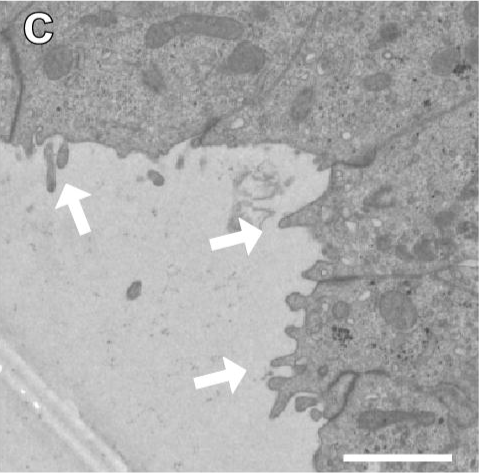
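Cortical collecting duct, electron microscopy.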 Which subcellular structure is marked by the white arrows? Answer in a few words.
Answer: short, apical microvilli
